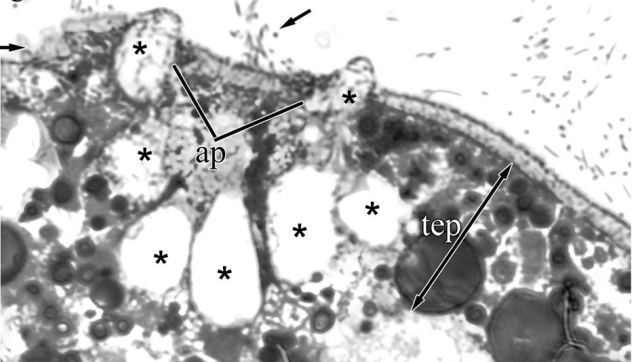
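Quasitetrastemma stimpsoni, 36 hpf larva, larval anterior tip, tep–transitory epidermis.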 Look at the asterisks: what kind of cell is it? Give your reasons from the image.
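The marked cells have large pale, nearly empty-looking contents. They lie beneath and beside the surface, flanking the bracketed surface region.
Glandular cells.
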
